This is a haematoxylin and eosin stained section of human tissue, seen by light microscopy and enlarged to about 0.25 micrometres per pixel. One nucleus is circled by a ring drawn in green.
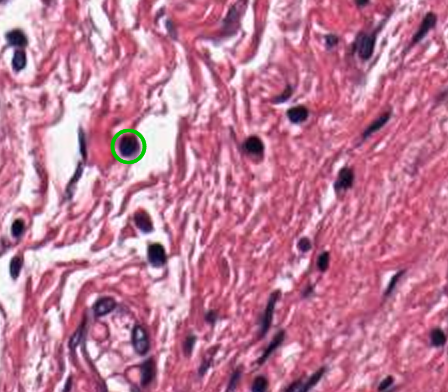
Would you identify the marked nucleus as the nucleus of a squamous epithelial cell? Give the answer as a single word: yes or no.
no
